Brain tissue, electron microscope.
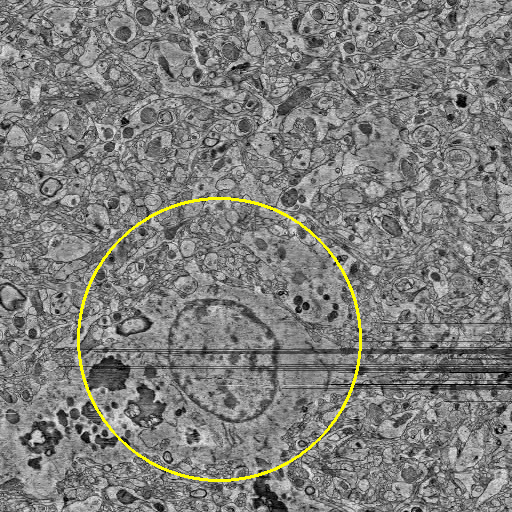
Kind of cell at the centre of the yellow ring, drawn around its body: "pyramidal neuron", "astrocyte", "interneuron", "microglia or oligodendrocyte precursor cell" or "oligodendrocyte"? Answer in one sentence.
The ring's centre falls on an astrocyte.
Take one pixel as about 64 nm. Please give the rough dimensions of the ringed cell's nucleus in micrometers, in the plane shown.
The nucleus appears roughly 8 by 7 micrometres in this plane.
